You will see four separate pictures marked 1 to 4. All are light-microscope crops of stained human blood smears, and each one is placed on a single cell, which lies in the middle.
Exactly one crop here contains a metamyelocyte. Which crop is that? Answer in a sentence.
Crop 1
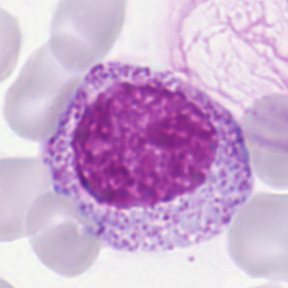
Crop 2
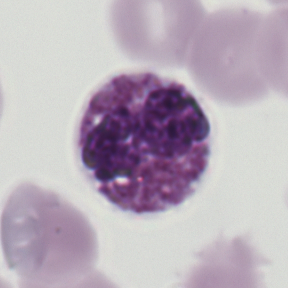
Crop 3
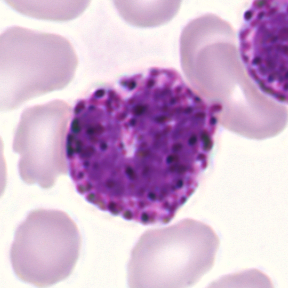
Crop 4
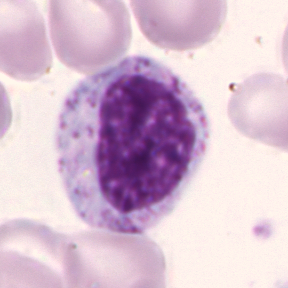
Of the cells presented, the one in crop 4 is a metamyelocyte.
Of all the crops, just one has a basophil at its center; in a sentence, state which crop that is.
Identified crop: 3, the one that shows a basophil.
